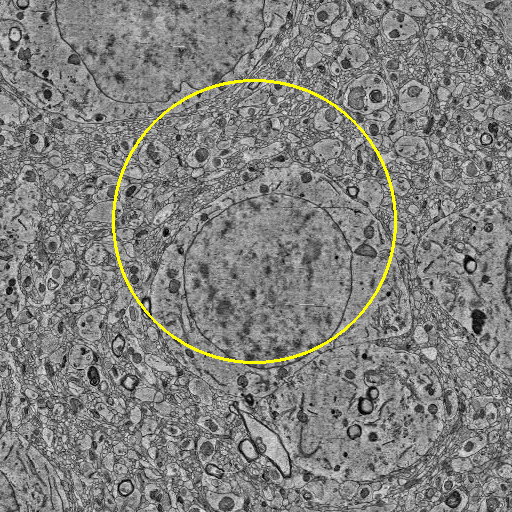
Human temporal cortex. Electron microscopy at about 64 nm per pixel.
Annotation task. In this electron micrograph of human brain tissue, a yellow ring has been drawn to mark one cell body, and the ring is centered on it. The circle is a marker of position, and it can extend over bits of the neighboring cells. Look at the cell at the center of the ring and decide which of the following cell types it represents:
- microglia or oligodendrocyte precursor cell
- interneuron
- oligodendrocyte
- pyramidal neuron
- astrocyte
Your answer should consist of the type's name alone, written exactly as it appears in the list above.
pyramidal neuron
